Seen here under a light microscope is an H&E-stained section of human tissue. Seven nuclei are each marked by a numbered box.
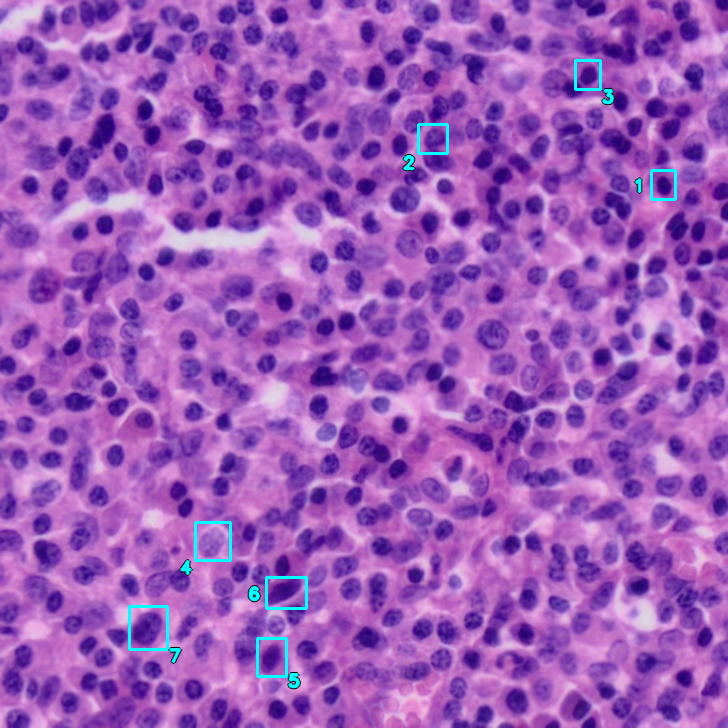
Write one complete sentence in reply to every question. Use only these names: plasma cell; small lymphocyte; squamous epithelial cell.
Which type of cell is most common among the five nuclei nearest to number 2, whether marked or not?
Around number 2, most of the five nearest nuclei are those of plasma cells.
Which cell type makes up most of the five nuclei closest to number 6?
The majority of the five nuclei closest to number 6 belong to plasma cells.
